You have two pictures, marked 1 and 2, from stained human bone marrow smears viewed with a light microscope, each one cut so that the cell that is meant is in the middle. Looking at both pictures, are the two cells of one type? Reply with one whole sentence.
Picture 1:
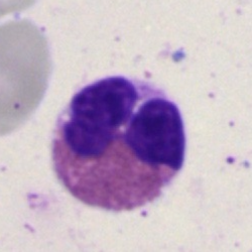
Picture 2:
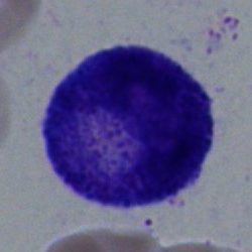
No, the types are not the same, since picture 1 shows an eosinophil and picture 2 a promyelocyte.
